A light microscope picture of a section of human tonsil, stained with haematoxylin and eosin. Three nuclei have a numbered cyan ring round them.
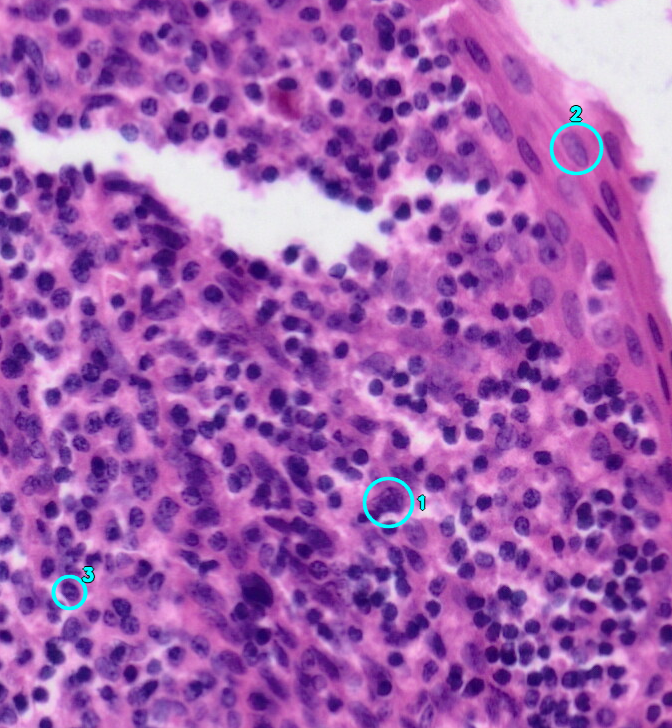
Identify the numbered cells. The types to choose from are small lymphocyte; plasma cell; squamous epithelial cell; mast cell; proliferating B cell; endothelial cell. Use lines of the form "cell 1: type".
cell 1: squamous epithelial cell
cell 2: squamous epithelial cell
cell 3: plasma cell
